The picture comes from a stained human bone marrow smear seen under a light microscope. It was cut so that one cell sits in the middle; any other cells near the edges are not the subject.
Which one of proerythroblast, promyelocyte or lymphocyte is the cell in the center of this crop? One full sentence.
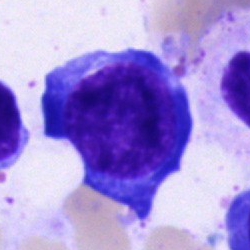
The cell in the middle of the field of view is a proerythroblast.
